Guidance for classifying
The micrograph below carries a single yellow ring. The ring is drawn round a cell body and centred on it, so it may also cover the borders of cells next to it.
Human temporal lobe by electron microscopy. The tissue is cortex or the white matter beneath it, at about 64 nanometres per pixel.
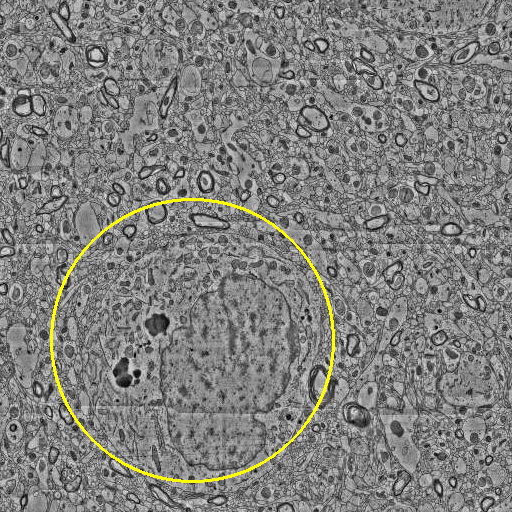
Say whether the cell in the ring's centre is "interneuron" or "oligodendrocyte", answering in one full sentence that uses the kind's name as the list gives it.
Within the yellow ring, an interneuron is the cell whose body sits at the centre.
